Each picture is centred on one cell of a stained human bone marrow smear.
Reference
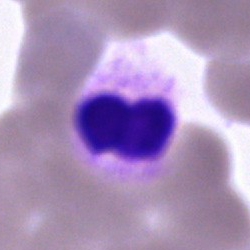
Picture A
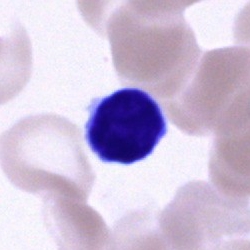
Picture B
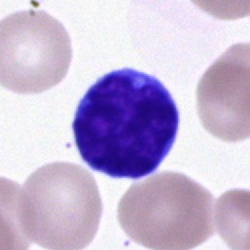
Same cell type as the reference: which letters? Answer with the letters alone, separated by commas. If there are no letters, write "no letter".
no letter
